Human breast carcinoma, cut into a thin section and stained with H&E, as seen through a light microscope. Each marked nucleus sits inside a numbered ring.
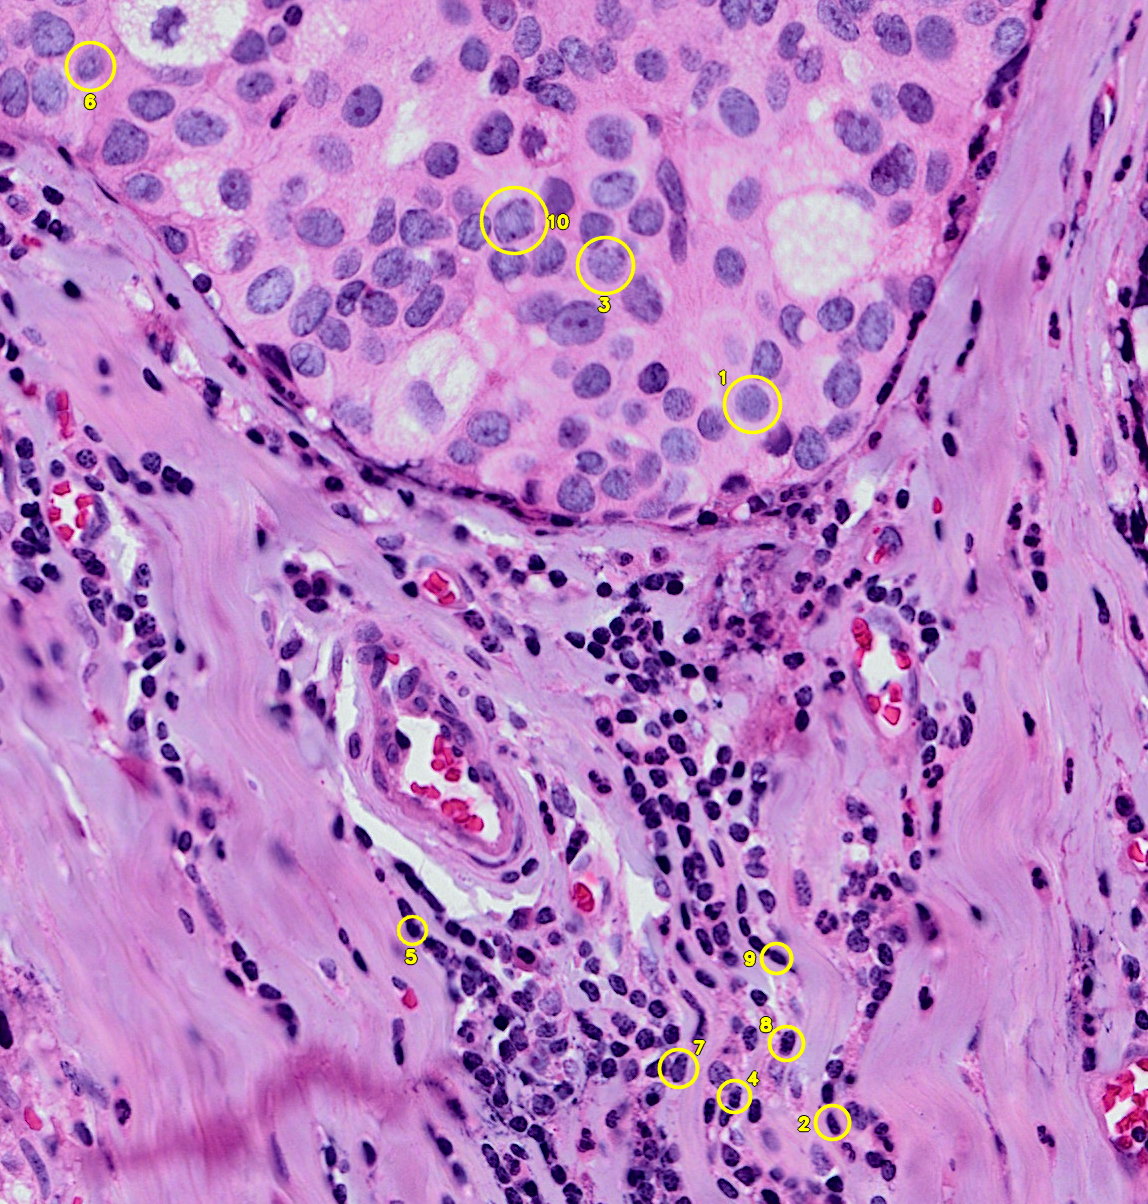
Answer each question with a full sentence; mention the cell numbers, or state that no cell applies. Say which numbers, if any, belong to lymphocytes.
Cells 2, 4, 5, 7, 8 and 9 are of one type, namely lymphocytes.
